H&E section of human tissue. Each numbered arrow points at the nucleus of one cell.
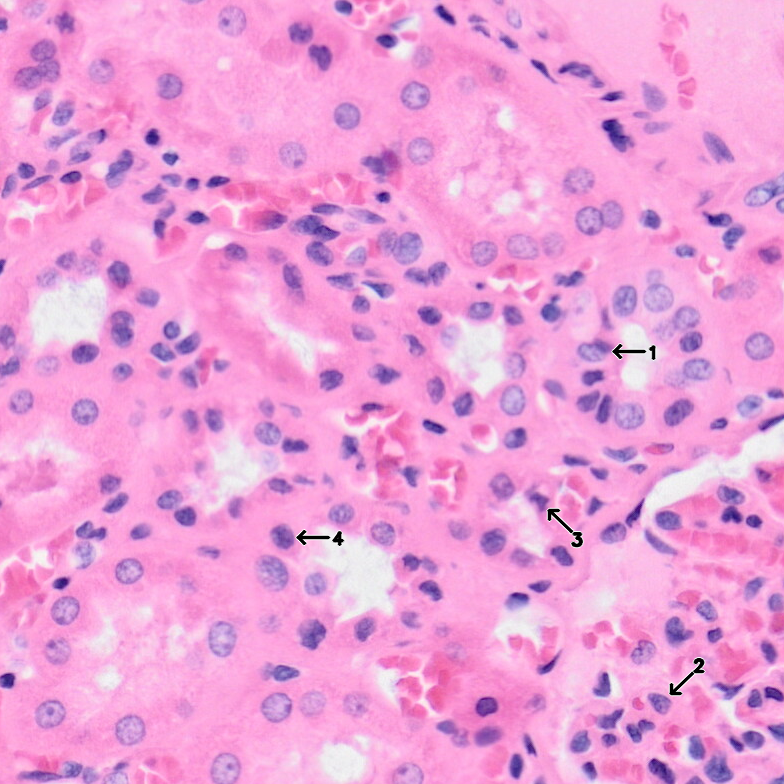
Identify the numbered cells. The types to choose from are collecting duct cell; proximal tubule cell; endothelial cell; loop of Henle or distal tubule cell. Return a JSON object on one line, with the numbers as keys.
{"1": "collecting duct cell", "2": "endothelial cell", "3": "loop of Henle or distal tubule cell", "4": "loop of Henle or distal tubule cell"}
